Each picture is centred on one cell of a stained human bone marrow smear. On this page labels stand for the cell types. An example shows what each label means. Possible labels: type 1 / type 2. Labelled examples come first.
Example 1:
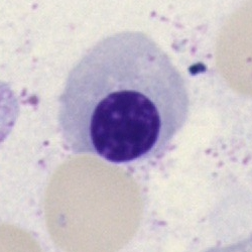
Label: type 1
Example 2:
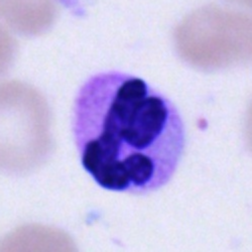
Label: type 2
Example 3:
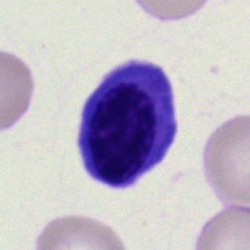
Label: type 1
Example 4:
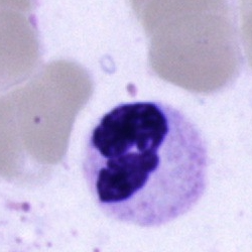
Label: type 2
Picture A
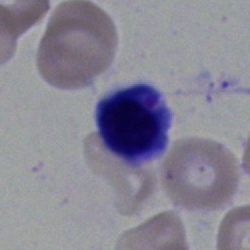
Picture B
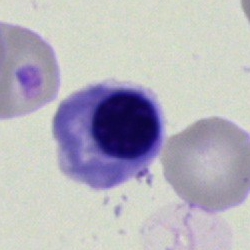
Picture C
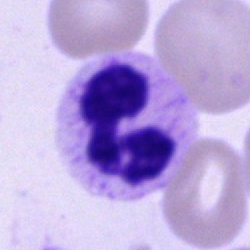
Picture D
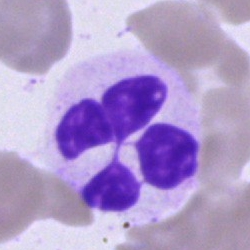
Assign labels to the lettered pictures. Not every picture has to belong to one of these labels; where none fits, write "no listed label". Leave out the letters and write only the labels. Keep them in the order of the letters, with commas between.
type 1, type 1, type 2, type 2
